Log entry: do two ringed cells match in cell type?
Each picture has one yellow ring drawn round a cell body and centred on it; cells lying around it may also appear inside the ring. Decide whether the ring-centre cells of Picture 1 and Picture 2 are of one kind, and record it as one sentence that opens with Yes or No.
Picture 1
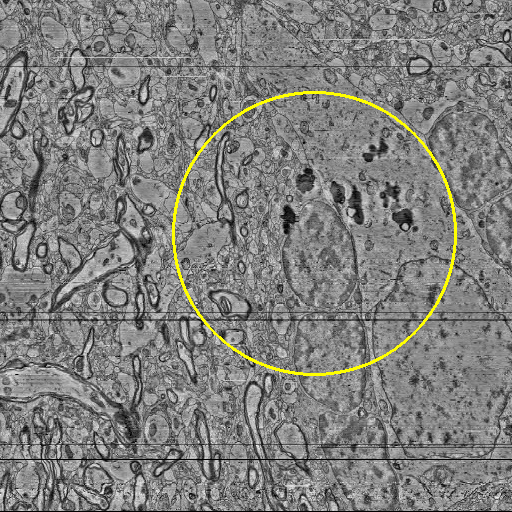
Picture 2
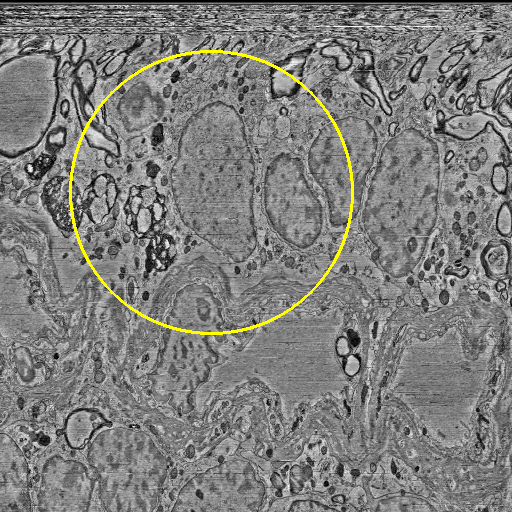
No, the cells at the ring centres of the two pictures belong to two kinds.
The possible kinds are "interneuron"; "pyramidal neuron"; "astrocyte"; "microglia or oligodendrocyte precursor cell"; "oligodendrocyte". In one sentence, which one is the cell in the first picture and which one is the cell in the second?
The cell ringed in the second picture is an astrocyte, whereas the one ringed in the first is an oligodendrocyte.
